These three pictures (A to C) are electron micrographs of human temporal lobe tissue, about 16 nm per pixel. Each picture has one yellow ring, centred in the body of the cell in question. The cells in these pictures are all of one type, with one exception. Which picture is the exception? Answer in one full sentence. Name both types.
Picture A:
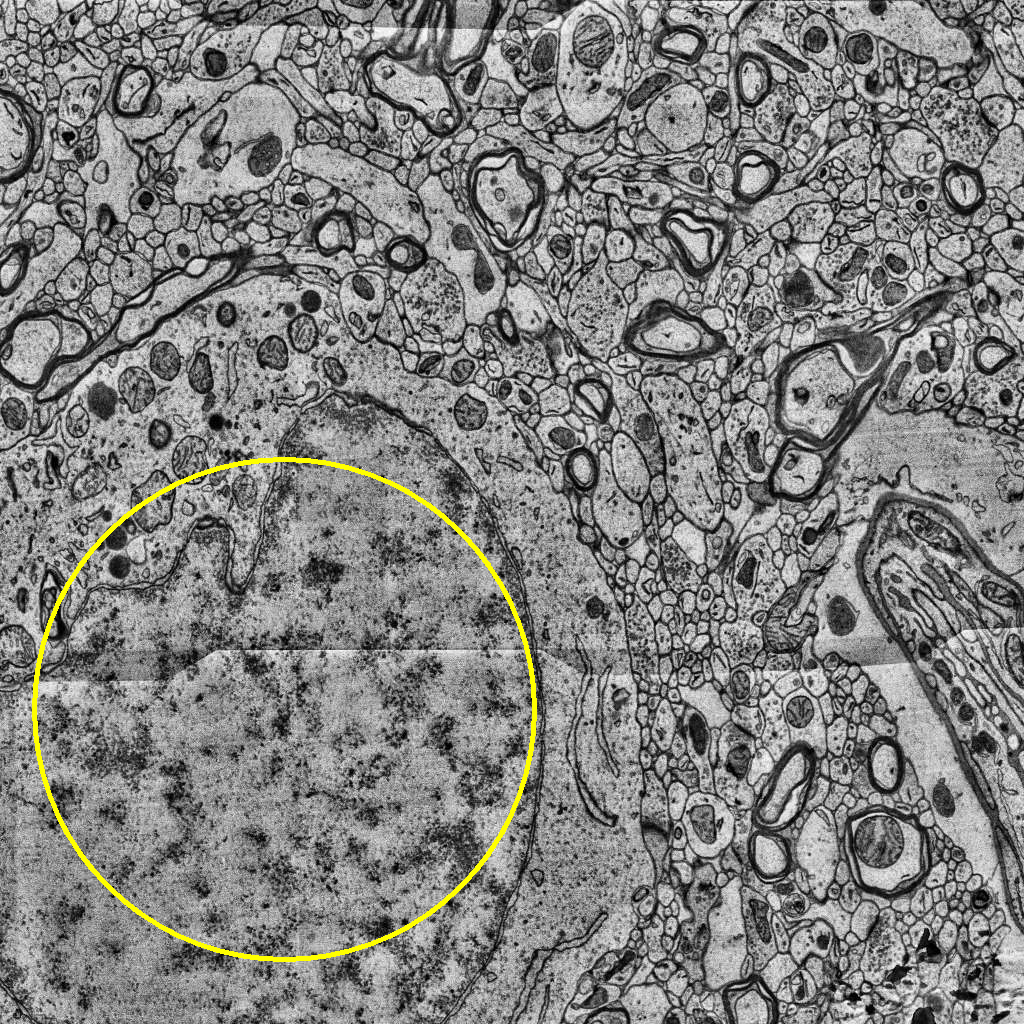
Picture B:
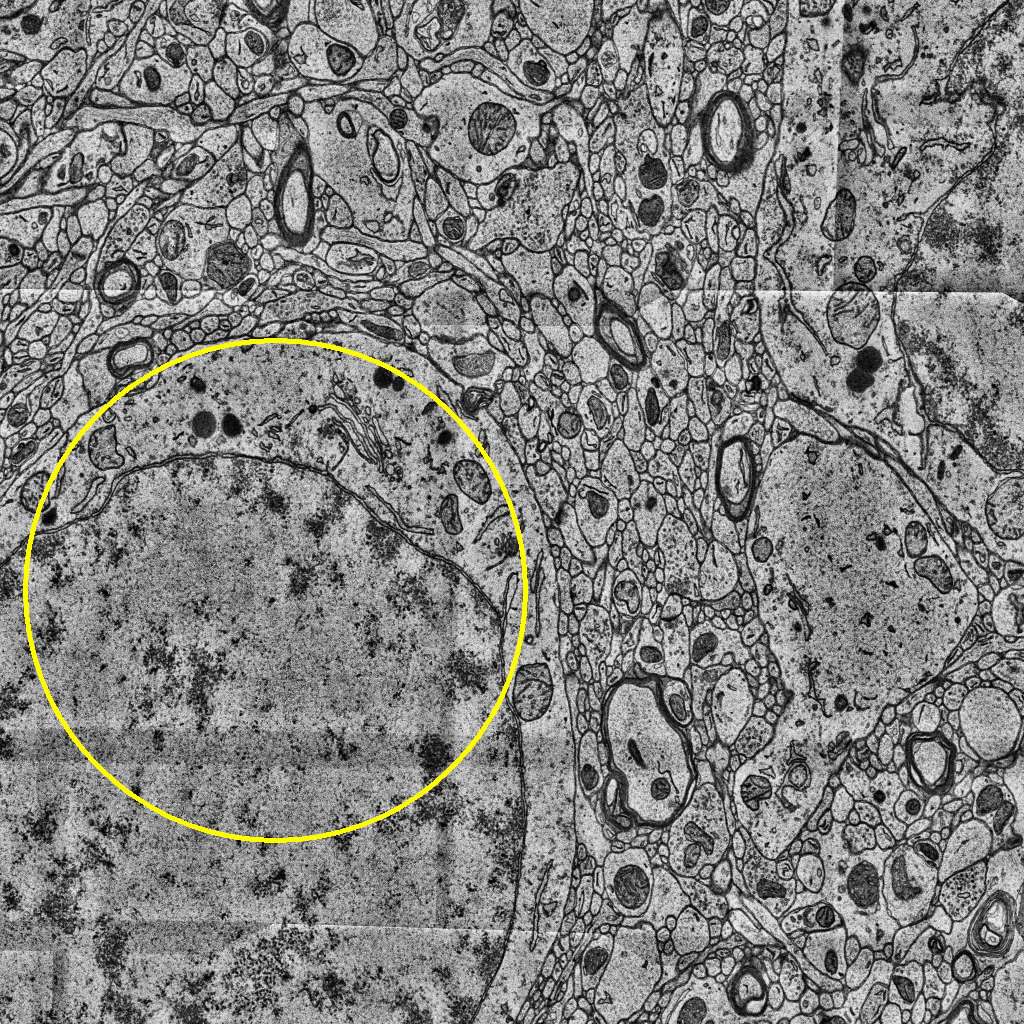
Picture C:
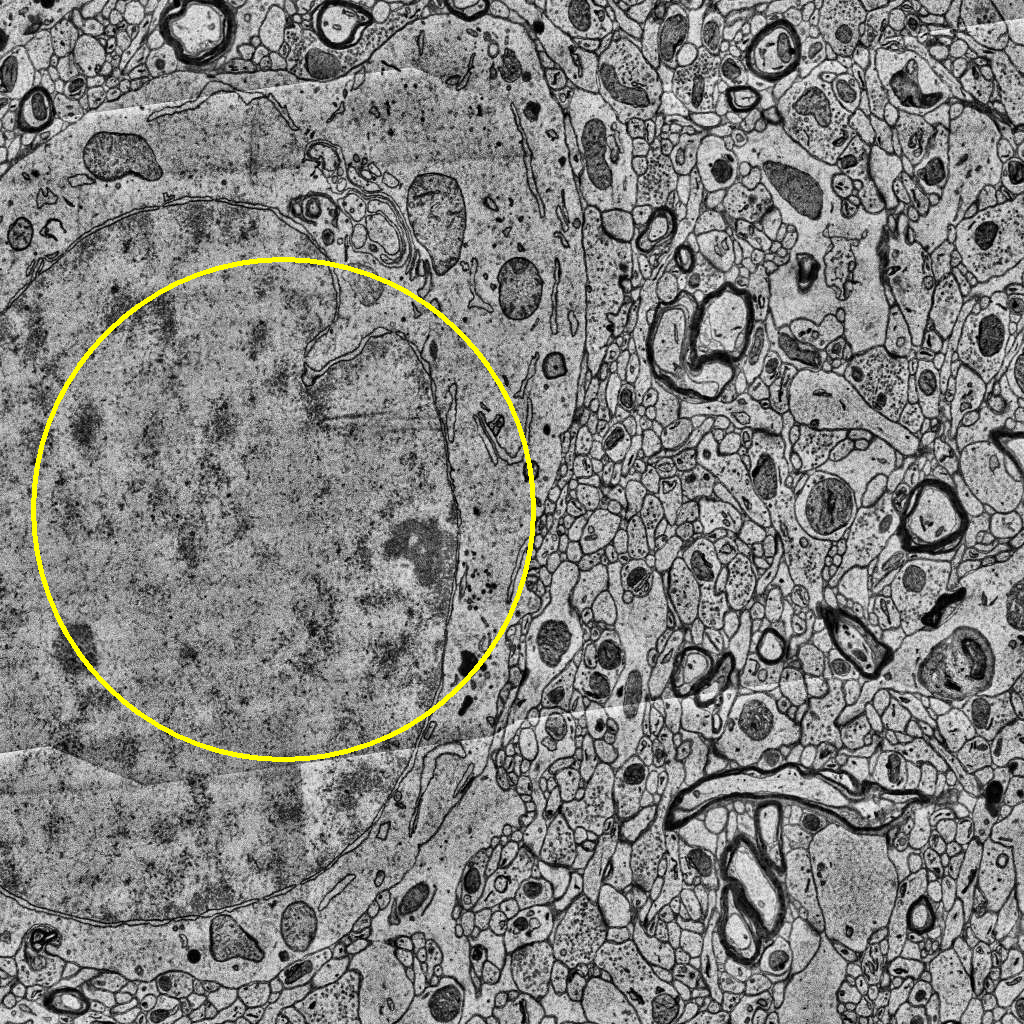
The others show interneurons, but picture B shows a pyramidal neuron.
